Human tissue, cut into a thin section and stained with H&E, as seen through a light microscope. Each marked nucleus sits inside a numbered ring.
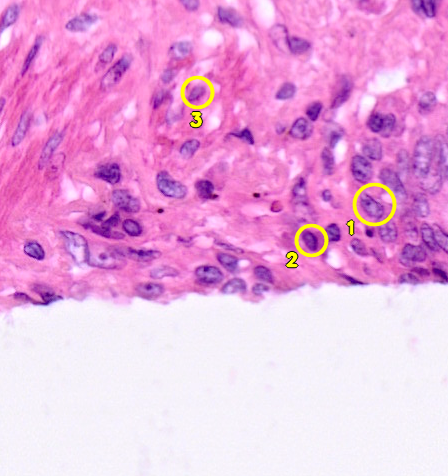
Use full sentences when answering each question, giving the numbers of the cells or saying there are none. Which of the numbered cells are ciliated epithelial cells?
Only number 1 is a ciliated epithelial cell; none of the others are.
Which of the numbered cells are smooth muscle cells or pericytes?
Cell 3 is a smooth muscle cell or pericyte, whereas each of the other numbered cells is not.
